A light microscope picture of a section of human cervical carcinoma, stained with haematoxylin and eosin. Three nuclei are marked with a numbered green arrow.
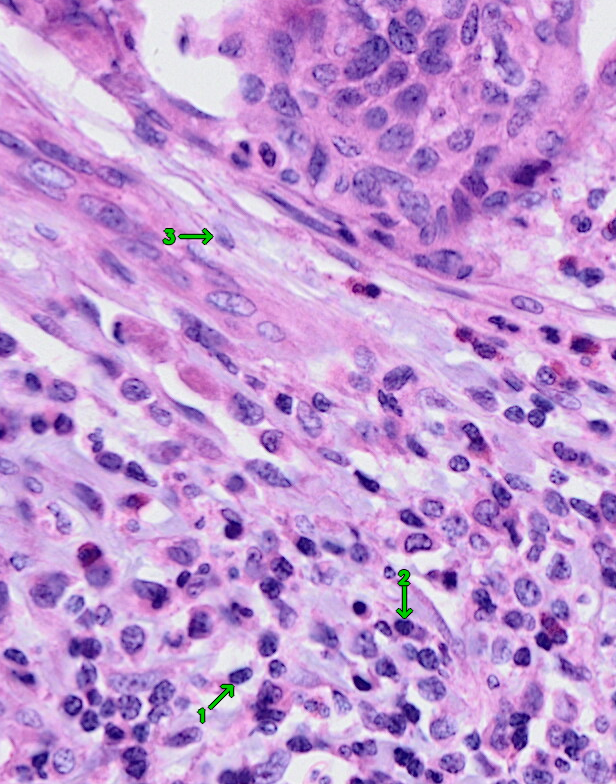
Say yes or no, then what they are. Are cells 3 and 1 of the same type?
No, cell 3 is a fibroblast and cell 1 is a lymphocyte.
